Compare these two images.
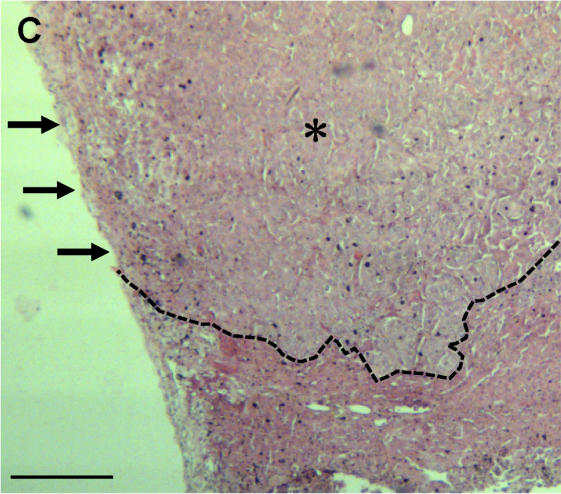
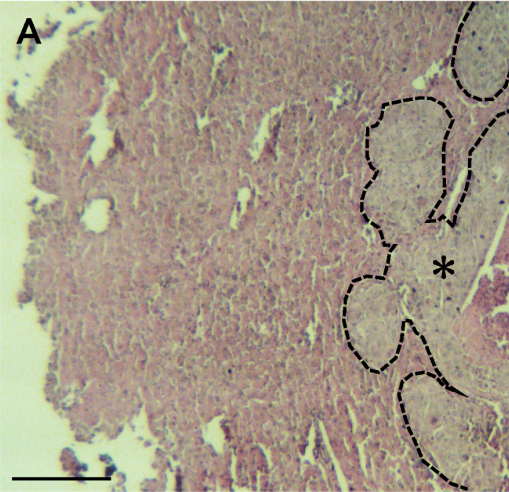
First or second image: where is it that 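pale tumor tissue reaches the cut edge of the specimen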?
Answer: The first image.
